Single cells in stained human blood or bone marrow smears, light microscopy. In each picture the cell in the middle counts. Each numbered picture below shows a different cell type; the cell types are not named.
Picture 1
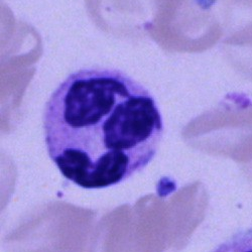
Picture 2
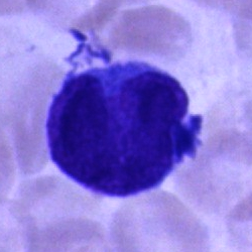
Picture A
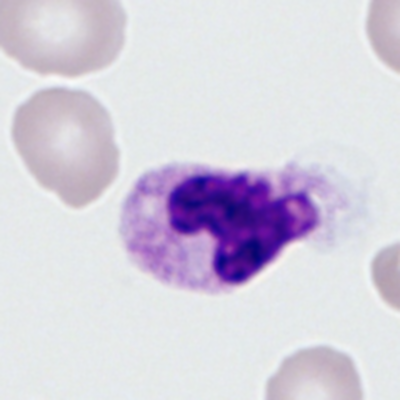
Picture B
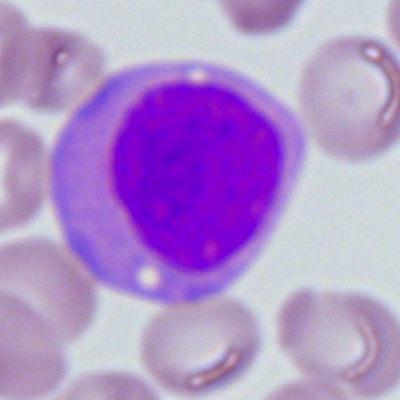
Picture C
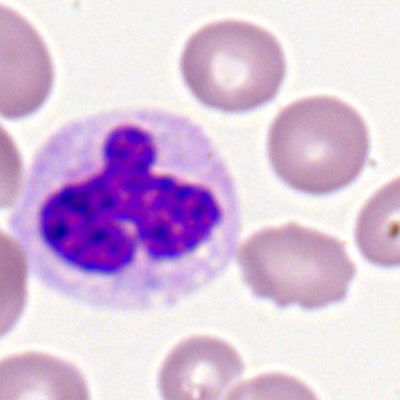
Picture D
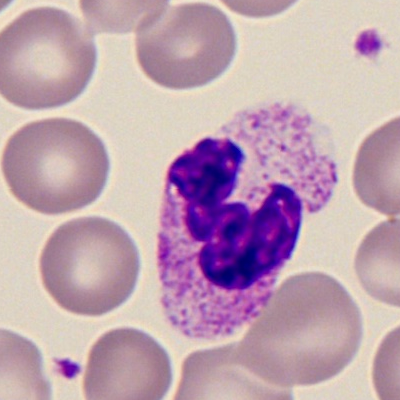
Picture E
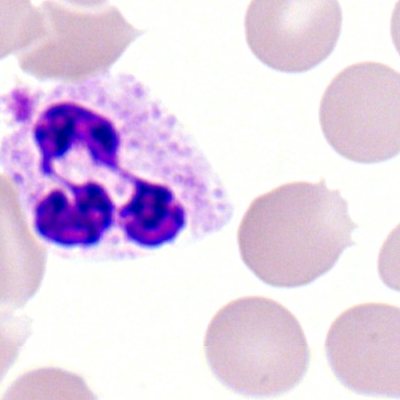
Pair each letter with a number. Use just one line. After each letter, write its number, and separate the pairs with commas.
A 1, B 2, C 1, D 1, E 1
